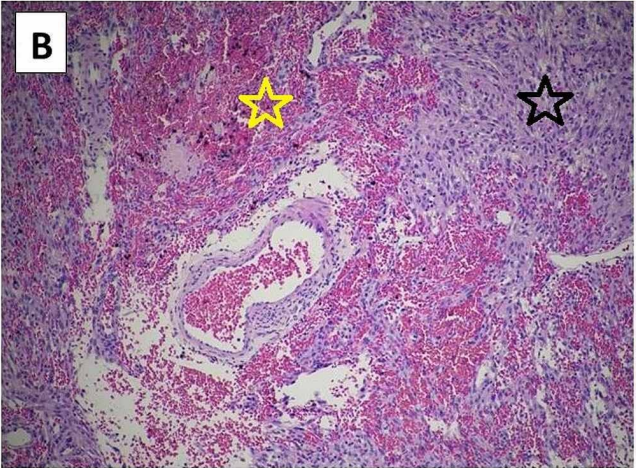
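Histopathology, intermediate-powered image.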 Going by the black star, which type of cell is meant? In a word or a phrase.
Spindle-celled background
